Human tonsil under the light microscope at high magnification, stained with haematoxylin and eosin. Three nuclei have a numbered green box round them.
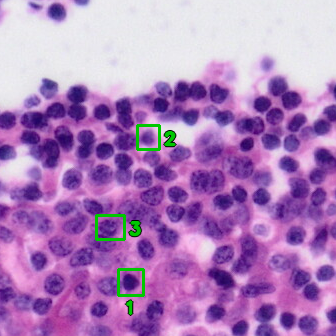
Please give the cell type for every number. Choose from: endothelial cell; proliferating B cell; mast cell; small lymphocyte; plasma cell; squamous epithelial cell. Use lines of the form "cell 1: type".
cell 1: plasma cell
cell 2: small lymphocyte
cell 3: plasma cell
